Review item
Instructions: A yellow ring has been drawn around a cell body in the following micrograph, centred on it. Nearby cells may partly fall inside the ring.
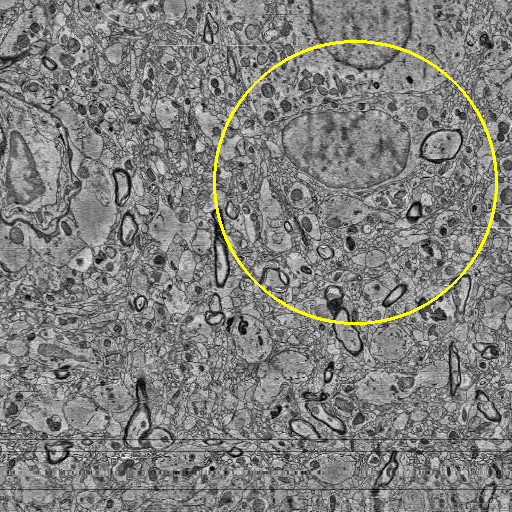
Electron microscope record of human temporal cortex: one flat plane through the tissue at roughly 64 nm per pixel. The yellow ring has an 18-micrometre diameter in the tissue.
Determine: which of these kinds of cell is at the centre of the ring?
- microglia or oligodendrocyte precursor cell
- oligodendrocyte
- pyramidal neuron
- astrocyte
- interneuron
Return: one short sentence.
The cell body in the middle of the ring is that of an oligodendrocyte.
